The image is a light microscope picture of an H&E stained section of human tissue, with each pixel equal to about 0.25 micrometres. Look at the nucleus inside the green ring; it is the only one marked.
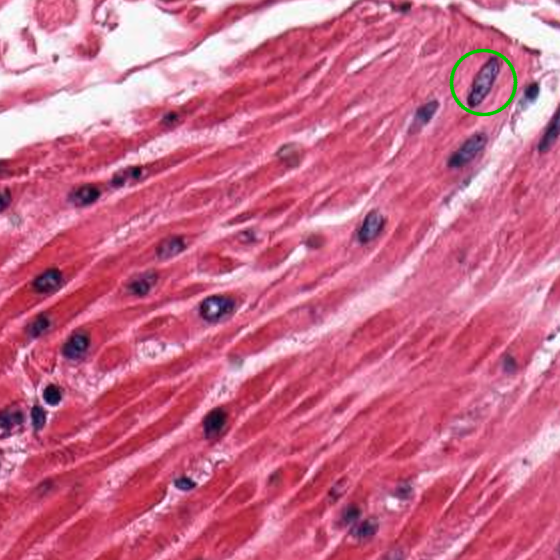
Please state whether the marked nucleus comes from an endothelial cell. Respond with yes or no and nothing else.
no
